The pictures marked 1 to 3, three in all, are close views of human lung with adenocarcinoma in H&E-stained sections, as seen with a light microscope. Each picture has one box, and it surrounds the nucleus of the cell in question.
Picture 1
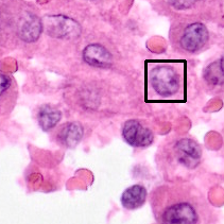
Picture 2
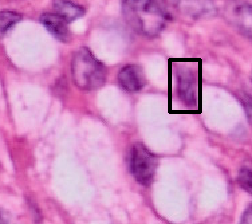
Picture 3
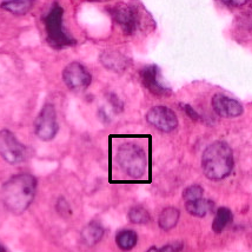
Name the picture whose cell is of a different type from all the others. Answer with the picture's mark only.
2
